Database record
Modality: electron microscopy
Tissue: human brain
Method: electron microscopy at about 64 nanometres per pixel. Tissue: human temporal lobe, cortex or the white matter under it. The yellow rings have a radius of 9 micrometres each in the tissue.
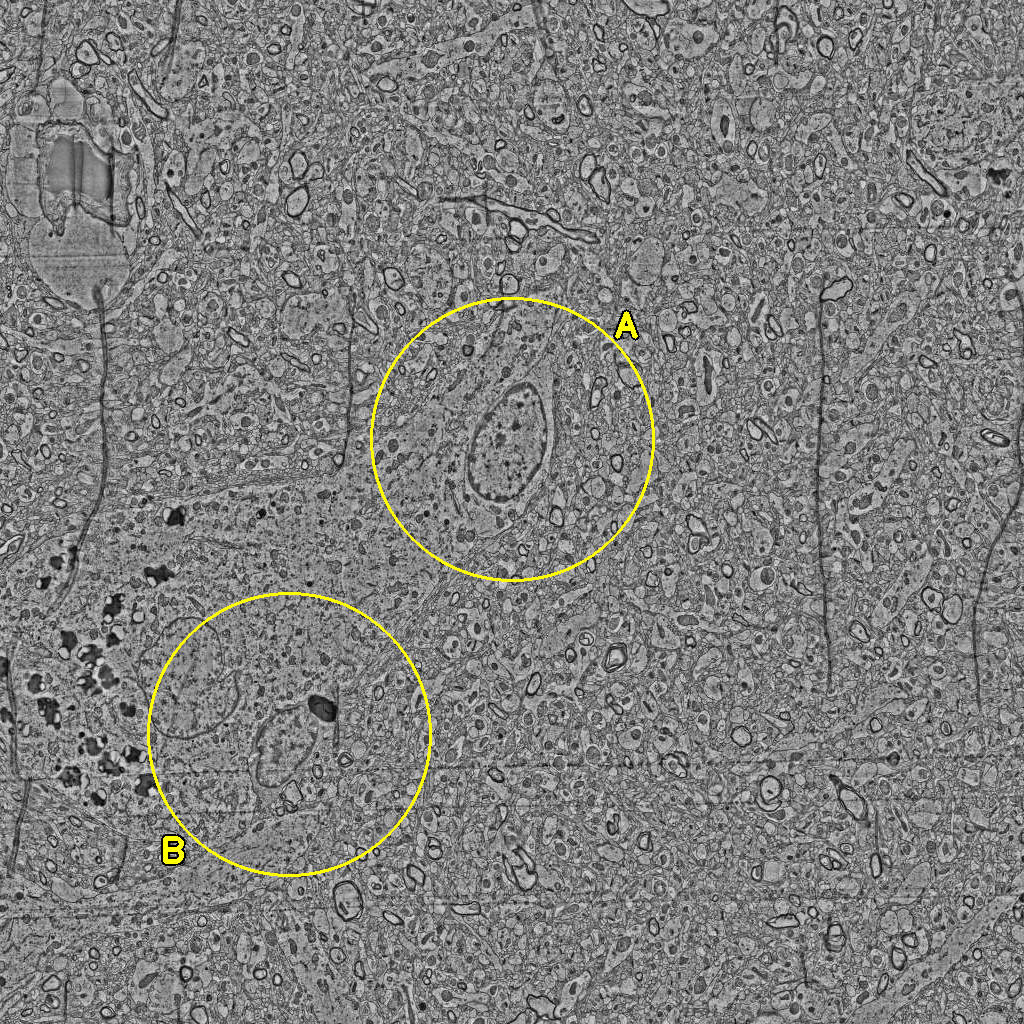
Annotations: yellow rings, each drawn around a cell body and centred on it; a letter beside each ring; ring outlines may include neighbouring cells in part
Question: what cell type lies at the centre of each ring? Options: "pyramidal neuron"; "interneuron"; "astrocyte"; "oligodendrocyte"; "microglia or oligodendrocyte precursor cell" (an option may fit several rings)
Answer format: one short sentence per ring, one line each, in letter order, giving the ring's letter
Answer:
Ring A corresponds to a microglial cell or oligodendrocyte precursor cell.
Ring B corresponds to an oligodendrocyte.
